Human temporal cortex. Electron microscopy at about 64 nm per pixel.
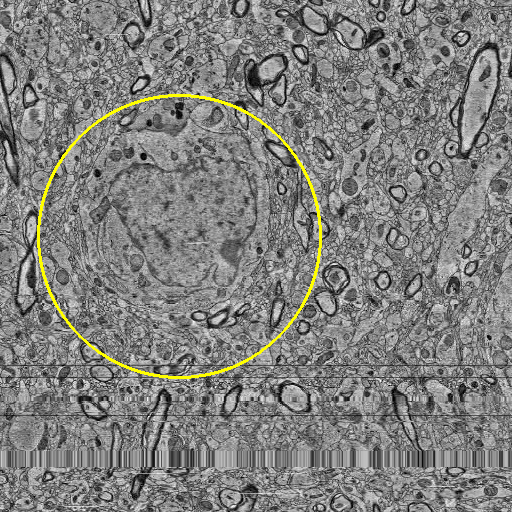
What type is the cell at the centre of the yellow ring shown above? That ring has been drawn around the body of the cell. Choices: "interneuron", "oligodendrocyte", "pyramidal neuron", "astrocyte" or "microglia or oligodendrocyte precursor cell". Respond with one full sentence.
My answer is that an interneuron lies at the centre of the yellow ring above.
